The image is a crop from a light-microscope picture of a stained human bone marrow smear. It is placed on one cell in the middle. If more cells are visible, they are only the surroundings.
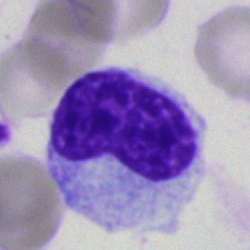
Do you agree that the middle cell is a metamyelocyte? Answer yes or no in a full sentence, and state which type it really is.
Yes, this crop has a metamyelocyte at its centre.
